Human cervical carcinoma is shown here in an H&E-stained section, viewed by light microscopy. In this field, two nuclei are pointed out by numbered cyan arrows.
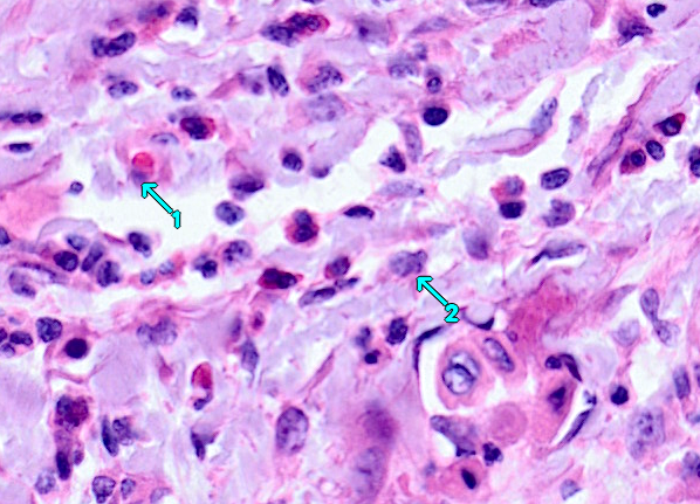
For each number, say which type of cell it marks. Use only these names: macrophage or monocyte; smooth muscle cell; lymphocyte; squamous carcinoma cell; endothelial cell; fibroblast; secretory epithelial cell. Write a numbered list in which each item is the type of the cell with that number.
1. endothelial cell
2. macrophage or monocyte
